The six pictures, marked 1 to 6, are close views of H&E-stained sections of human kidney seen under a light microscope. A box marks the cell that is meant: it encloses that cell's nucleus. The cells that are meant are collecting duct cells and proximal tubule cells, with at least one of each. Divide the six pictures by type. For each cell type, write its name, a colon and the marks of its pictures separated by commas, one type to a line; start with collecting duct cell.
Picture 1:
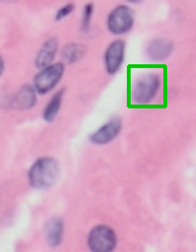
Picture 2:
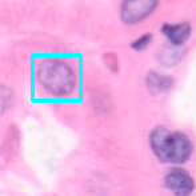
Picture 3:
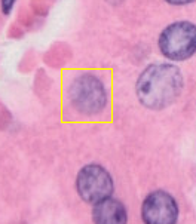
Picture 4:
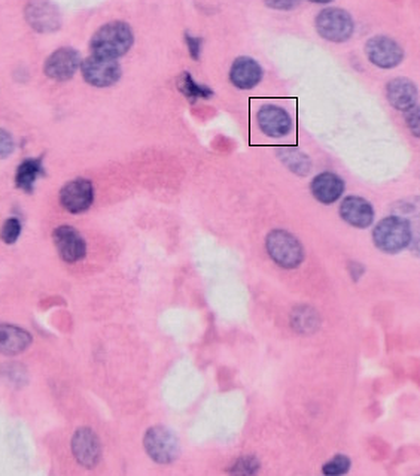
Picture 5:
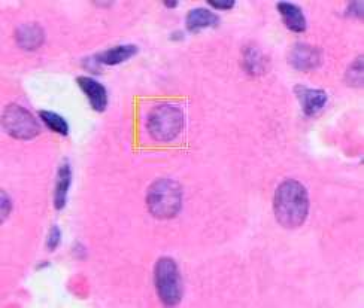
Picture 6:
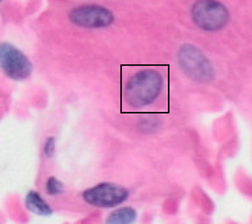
collecting duct cell: 1, 4
proximal tubule cell: 2, 3, 5, 6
